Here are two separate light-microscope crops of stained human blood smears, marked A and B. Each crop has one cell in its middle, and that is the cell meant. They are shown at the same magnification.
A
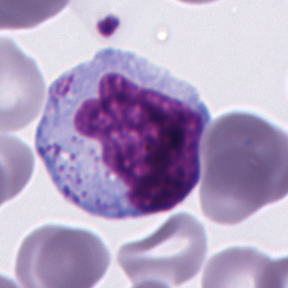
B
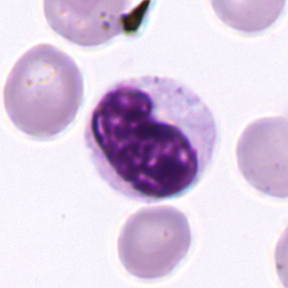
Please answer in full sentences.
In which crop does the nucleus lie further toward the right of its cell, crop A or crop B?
The nucleus in crop A lies further toward the right of its cell.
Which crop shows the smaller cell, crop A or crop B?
The cell in crop B is smaller; the one in crop A has about 2 times its area.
